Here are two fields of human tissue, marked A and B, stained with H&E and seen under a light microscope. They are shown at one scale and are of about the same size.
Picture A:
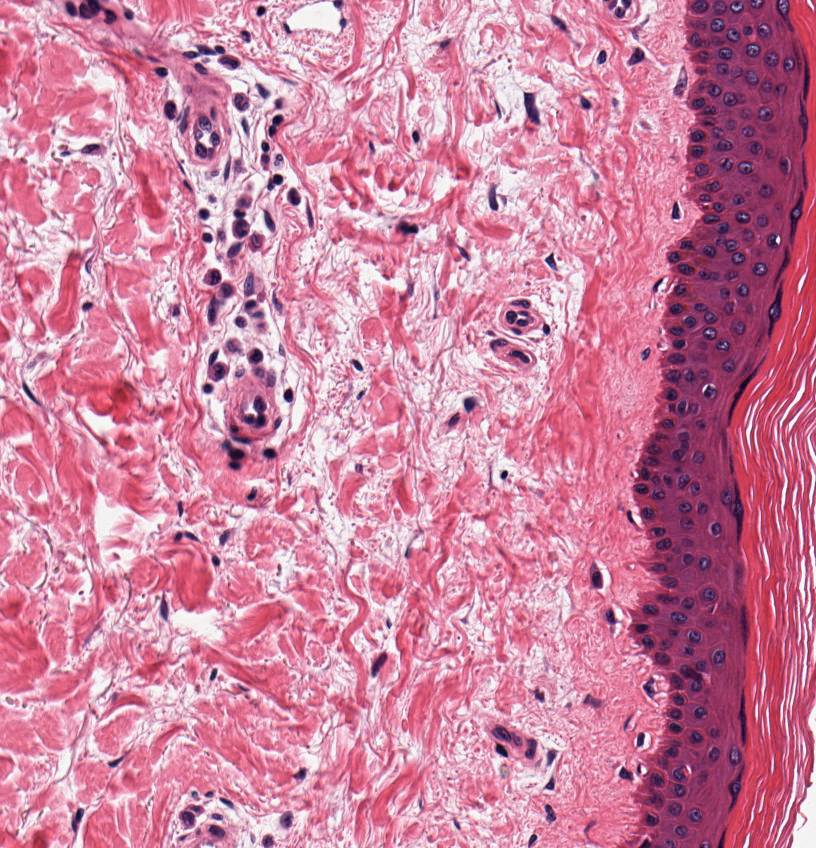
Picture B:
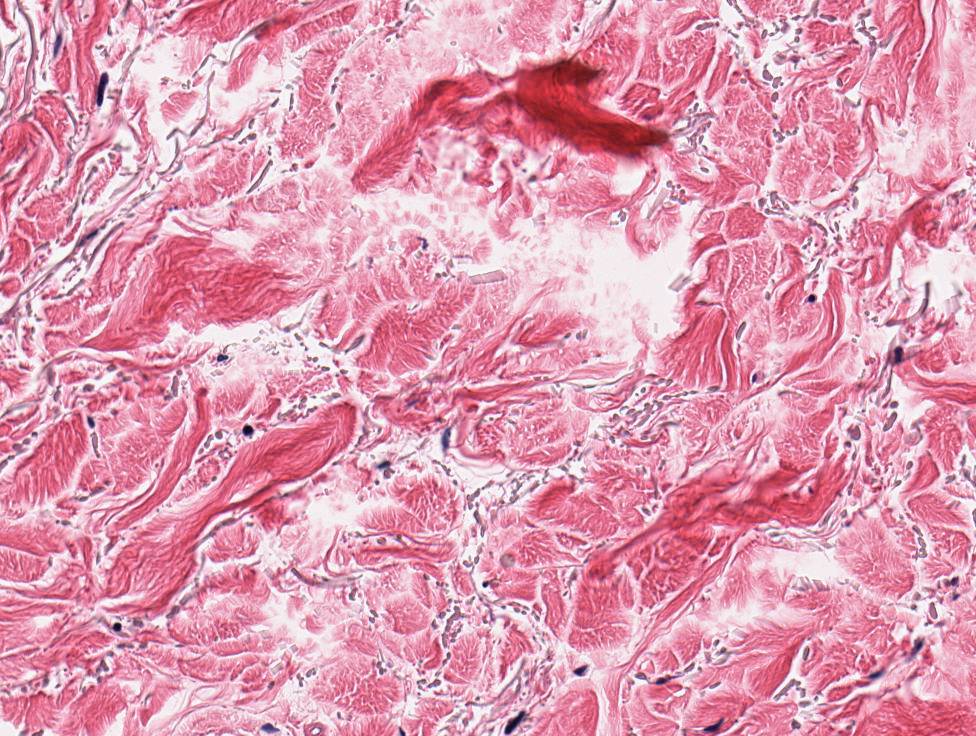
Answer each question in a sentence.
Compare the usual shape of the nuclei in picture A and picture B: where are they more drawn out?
On the whole the nuclei of picture B are more drawn out than those of picture A.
